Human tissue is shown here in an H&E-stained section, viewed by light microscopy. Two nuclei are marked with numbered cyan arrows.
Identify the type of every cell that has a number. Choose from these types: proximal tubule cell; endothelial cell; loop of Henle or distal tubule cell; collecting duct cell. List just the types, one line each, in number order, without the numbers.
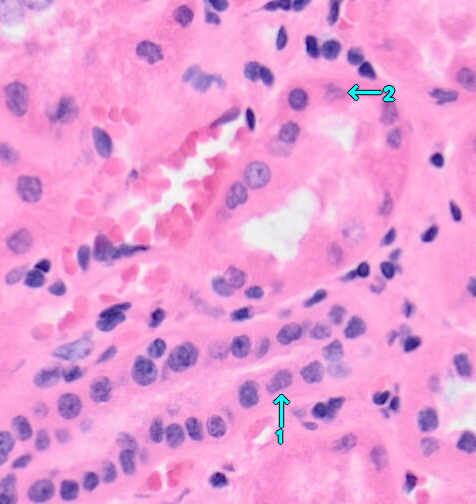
collecting duct cell
proximal tubule cell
